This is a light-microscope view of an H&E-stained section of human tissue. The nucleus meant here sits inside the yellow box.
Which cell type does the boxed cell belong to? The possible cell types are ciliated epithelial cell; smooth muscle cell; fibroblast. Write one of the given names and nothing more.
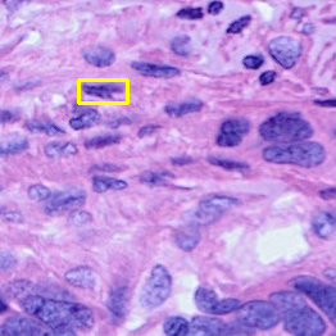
fibroblast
